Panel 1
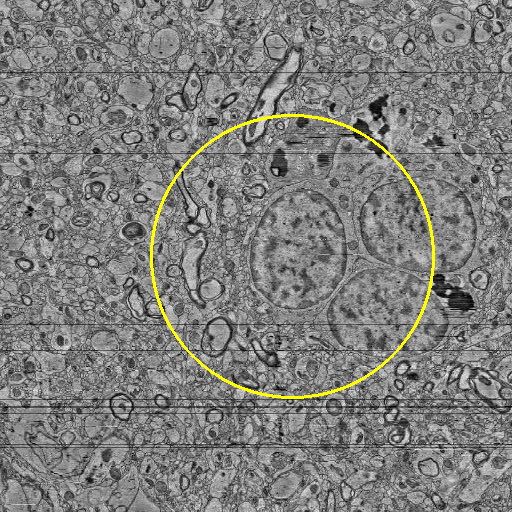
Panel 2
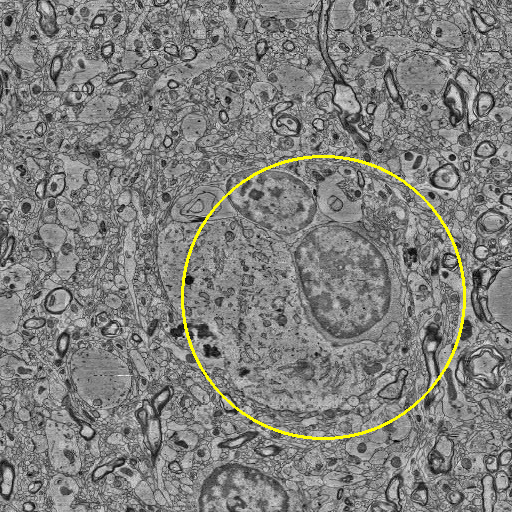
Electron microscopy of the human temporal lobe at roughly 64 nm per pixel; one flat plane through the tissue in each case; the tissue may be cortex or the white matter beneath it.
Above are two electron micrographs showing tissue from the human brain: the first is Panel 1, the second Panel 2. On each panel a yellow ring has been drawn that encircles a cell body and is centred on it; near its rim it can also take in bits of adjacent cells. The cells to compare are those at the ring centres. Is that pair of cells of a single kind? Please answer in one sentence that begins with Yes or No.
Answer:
Yes, the ring-centred cells of Panel 1 and Panel 2 belong to one kind.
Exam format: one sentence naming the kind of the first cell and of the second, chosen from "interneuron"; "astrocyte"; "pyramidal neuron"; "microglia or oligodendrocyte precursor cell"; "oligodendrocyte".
Each of the two pictures has an oligodendrocyte at the ring centre.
